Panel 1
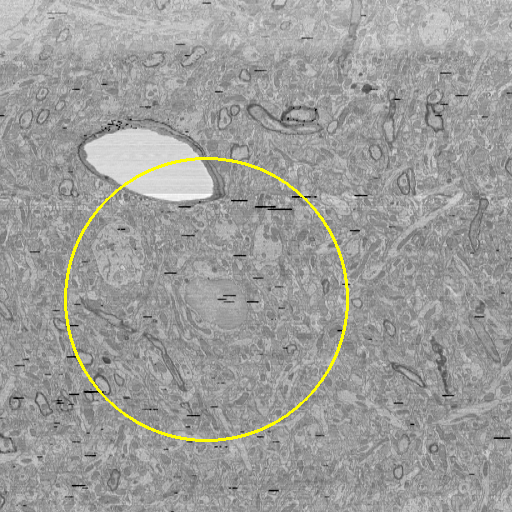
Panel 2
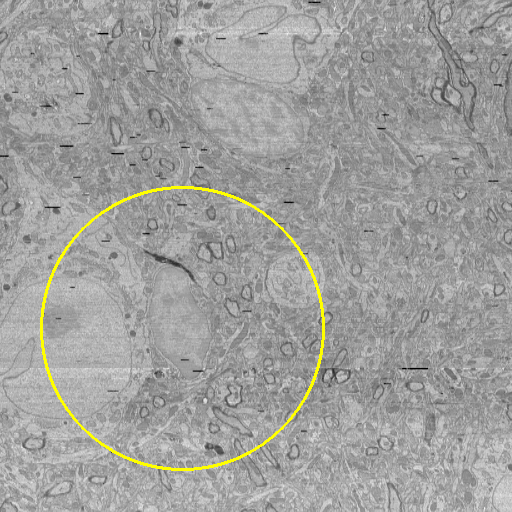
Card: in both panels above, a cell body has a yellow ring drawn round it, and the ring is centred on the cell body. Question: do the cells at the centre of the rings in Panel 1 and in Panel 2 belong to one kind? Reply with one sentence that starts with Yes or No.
Yes, the cells centred in the rings of Panel 1 and Panel 2 are one kind of cell.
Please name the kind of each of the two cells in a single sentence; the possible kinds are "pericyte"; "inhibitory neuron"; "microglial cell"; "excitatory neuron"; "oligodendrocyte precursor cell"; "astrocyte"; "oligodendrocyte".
In each picture the ringed cell is a microglial cell.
